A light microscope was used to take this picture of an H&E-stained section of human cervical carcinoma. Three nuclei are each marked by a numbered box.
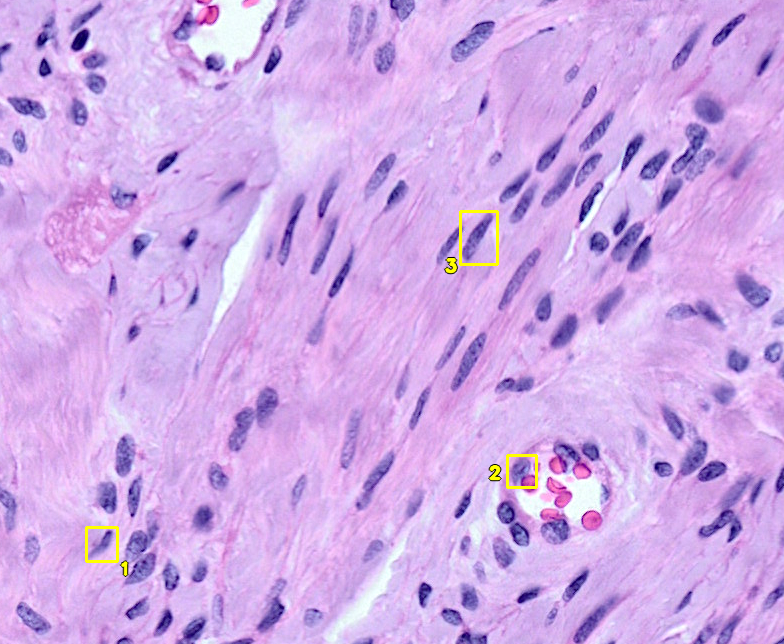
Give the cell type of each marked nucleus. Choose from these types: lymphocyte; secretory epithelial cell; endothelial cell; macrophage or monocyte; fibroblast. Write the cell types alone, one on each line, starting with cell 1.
fibroblast
endothelial cell
fibroblast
